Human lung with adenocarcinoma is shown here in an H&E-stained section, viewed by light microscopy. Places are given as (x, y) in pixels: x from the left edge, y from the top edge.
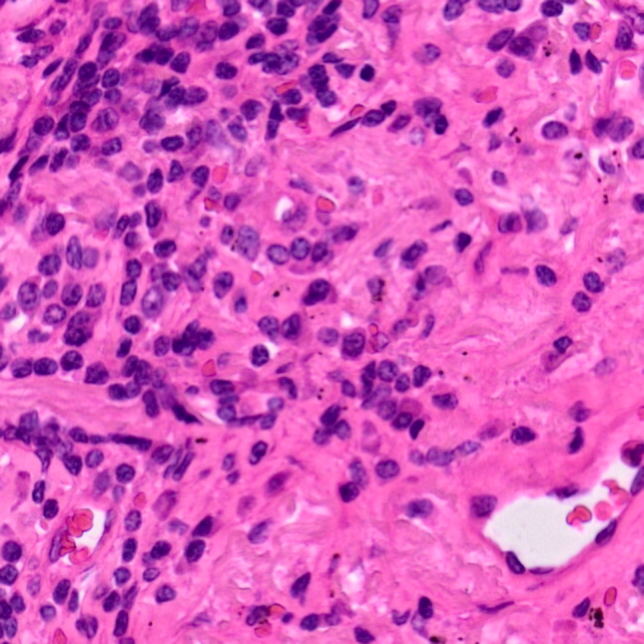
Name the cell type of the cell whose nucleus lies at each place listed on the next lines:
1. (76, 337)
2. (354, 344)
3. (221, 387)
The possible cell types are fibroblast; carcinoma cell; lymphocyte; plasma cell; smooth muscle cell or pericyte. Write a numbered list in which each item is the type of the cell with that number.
1. lymphocyte
2. plasma cell
3. plasma cell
